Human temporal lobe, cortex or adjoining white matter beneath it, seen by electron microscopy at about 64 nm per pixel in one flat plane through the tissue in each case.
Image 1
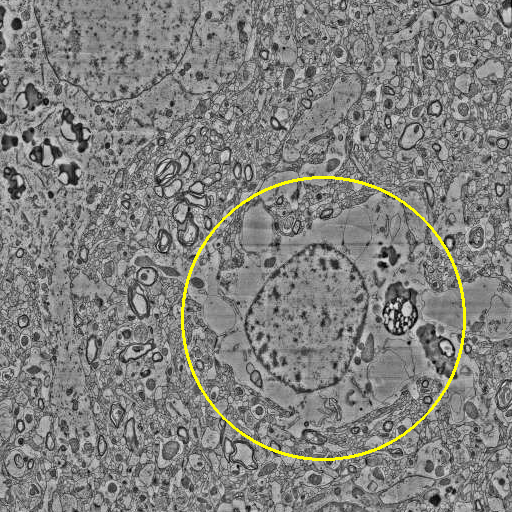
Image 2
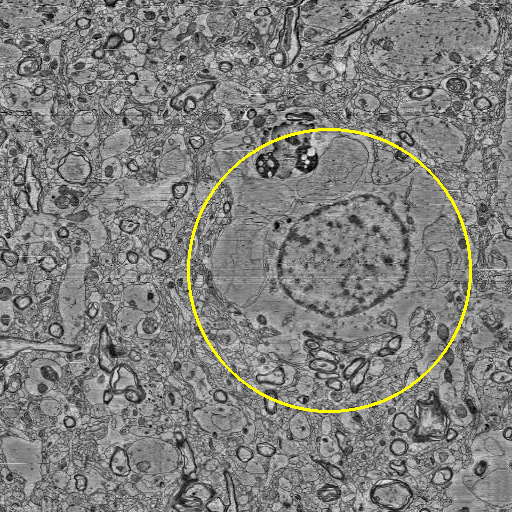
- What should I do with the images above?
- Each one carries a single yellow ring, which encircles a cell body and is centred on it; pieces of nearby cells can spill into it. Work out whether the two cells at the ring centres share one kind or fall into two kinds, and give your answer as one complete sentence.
The ring-centre cells of Image 1 and Image 2 share one kind.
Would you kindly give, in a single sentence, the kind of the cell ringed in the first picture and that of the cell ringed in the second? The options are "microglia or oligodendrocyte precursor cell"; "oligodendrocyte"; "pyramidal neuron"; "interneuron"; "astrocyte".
Each of the two rings is centred on an astrocyte.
